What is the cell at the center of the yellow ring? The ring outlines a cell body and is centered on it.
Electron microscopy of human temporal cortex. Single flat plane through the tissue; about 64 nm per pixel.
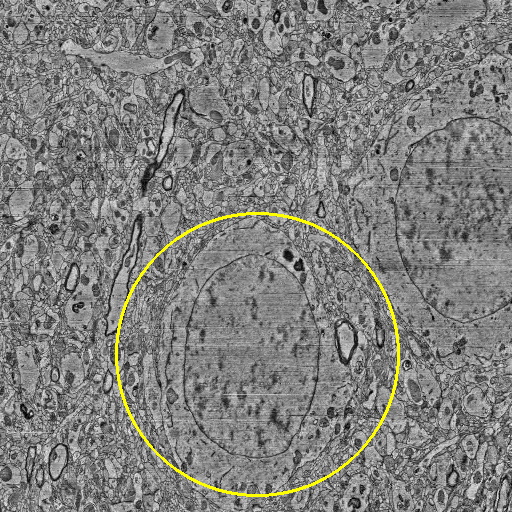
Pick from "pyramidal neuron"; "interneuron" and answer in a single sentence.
The yellow ring is centered on a pyramidal neuron.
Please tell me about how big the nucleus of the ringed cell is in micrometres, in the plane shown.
About 14 by 9 micrometers; the nucleus is clearly longer than it is wide in this plane.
